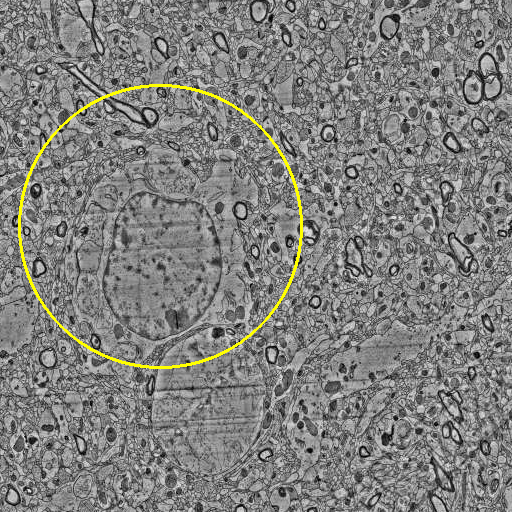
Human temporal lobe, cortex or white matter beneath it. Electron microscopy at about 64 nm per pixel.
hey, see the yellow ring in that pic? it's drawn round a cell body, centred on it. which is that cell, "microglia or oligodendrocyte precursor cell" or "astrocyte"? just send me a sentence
The cell in the ring is an astrocyte.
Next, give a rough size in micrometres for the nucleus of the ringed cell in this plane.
In this plane, the nucleus of the cell at the centre of the ring measures about 9 by 8 micrometres.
